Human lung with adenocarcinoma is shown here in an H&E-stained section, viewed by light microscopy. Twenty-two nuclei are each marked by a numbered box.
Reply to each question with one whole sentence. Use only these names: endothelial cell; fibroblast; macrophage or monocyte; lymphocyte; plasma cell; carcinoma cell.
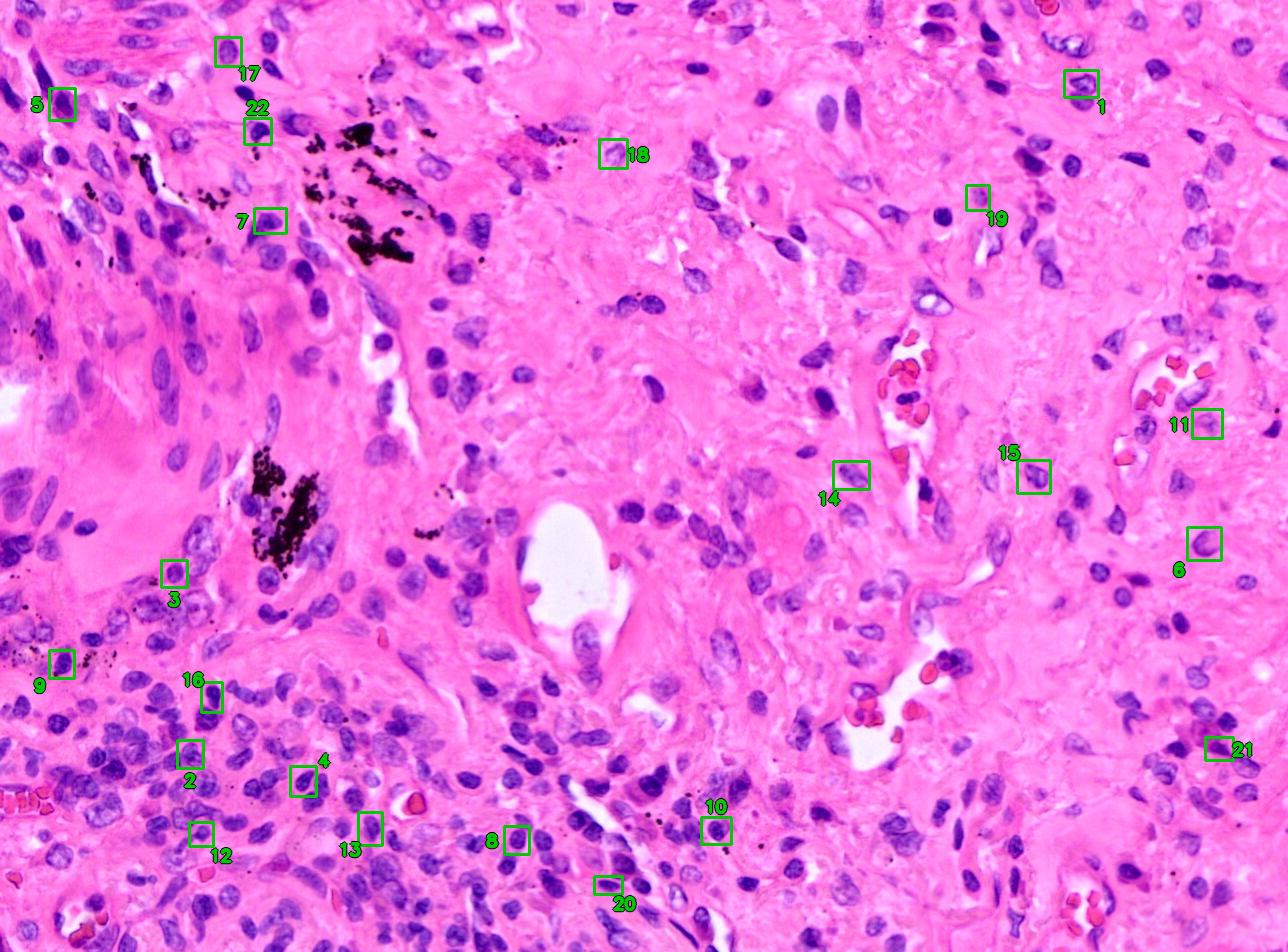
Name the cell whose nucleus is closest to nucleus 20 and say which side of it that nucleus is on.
Just above and to the right of nucleus 20 lies the nearest nucleus, which belongs to a plasma cell.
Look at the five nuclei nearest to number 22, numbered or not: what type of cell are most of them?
Most of the five nuclei nearest to number 22 are those of fibroblasts.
